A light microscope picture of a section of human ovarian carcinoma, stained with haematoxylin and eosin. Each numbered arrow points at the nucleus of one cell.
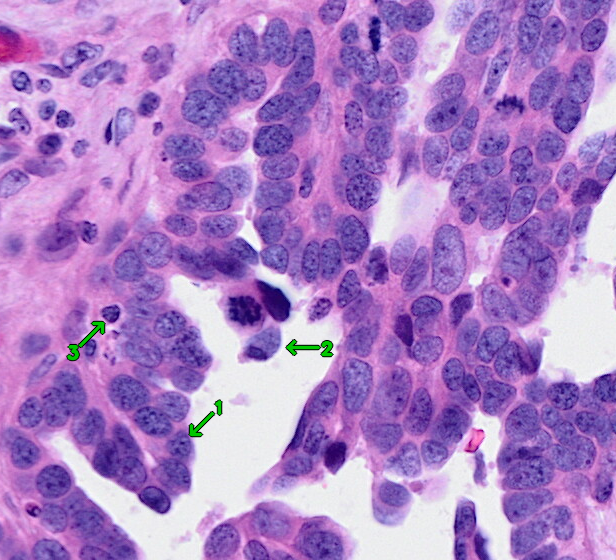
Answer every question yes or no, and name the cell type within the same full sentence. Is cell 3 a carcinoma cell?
No, cell 3 does not represent a carcinoma cell; it represents a lymphocyte.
